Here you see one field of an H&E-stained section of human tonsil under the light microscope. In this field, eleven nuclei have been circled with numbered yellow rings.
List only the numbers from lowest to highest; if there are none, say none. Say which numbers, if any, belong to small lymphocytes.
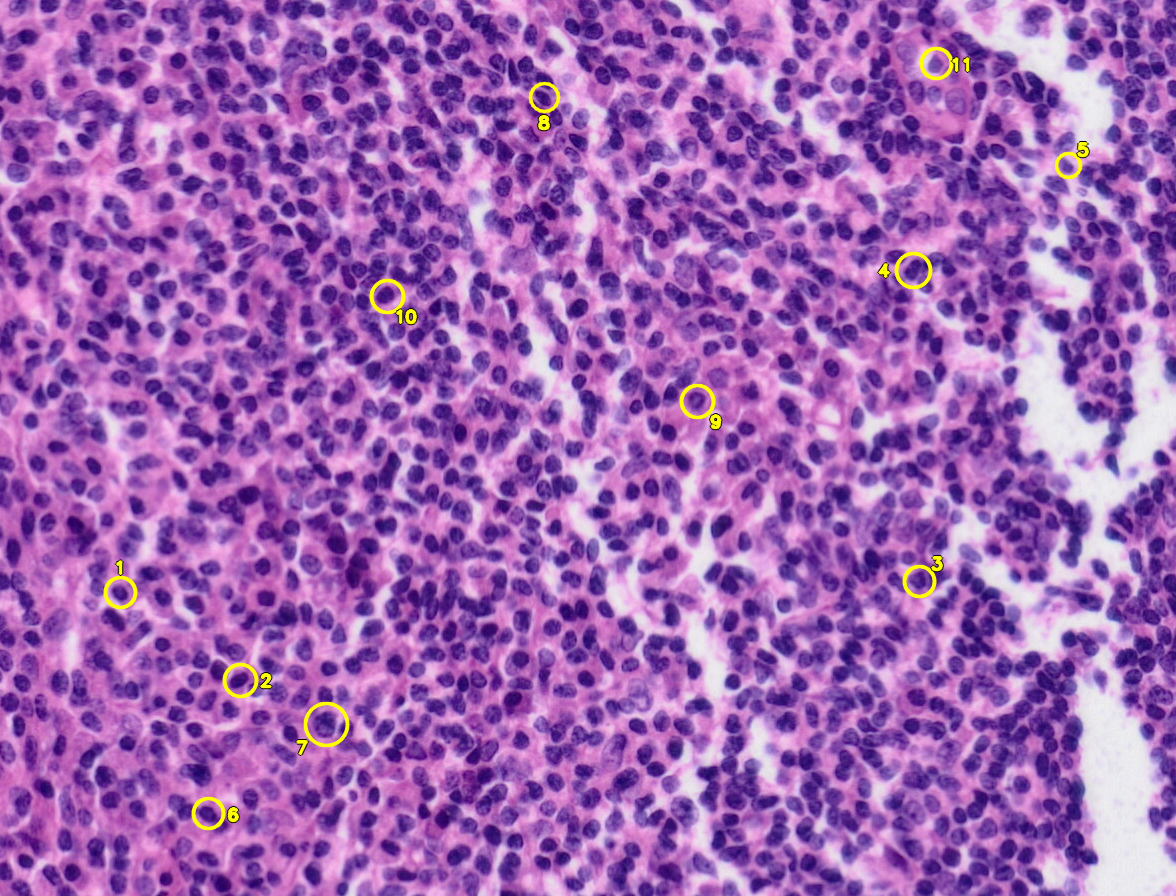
3, 4, 5, 8, 10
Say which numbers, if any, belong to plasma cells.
1, 2, 6, 9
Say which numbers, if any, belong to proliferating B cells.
7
